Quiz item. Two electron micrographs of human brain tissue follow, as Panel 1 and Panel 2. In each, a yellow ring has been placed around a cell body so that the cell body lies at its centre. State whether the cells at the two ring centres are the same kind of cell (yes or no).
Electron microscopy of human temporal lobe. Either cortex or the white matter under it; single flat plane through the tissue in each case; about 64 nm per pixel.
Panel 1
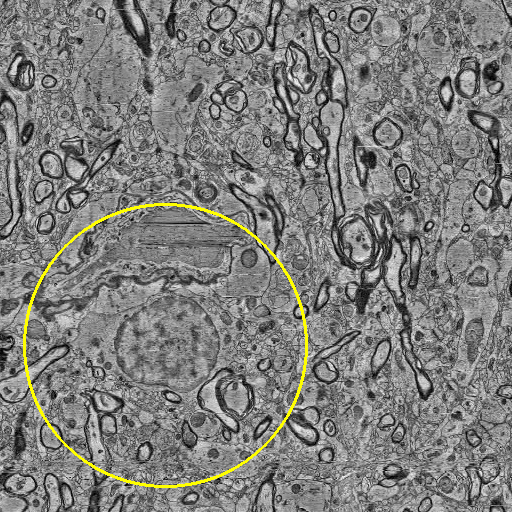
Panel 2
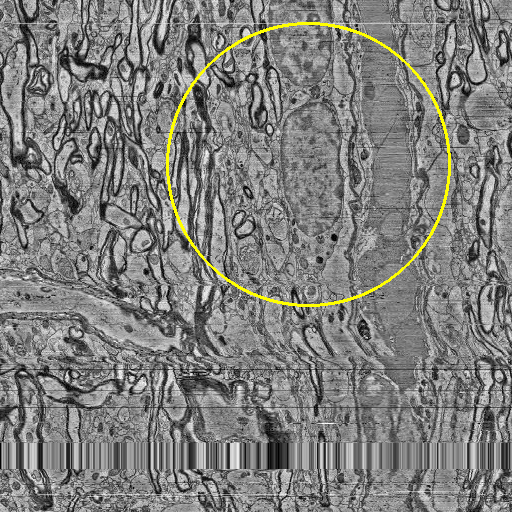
yes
